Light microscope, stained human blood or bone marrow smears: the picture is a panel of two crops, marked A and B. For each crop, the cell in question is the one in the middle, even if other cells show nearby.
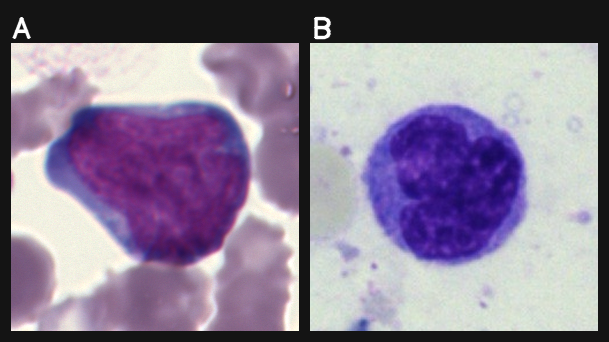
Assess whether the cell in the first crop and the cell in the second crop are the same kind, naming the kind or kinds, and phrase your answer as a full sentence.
No, crop A shows a blast, with a monocyte shown in crop B.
